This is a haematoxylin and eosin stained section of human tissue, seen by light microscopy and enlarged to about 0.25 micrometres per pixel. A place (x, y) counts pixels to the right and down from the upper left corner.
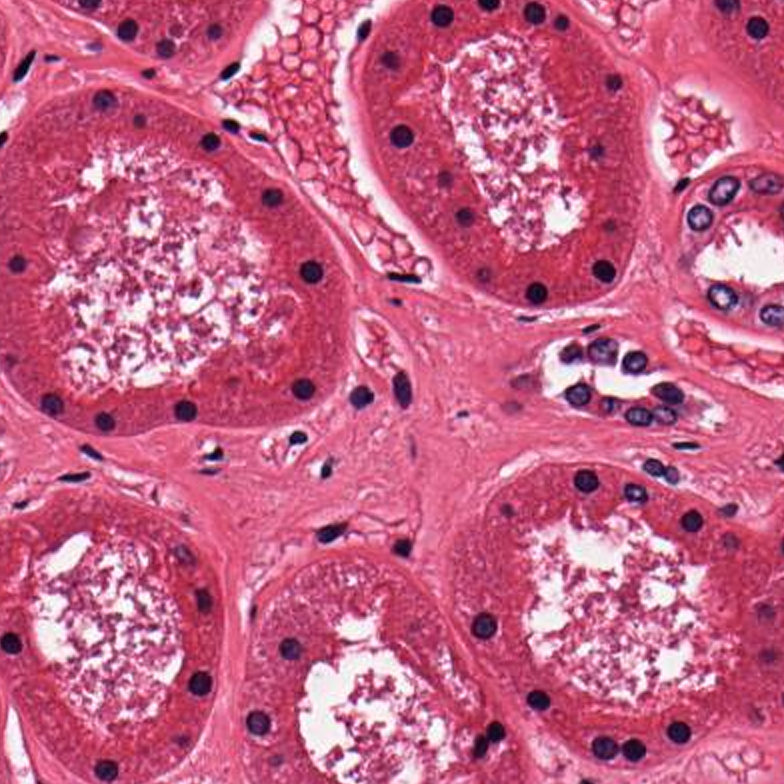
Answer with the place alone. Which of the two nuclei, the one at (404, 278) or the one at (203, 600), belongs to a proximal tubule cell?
(203, 600)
